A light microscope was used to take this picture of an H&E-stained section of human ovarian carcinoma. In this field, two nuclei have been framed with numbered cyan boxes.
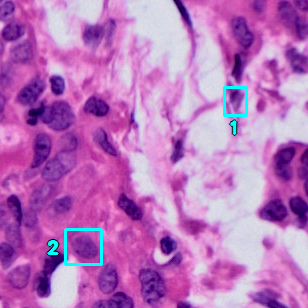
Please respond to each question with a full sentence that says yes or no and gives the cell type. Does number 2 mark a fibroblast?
No, cell 2 is classified as a carcinoma cell rather than a fibroblast.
